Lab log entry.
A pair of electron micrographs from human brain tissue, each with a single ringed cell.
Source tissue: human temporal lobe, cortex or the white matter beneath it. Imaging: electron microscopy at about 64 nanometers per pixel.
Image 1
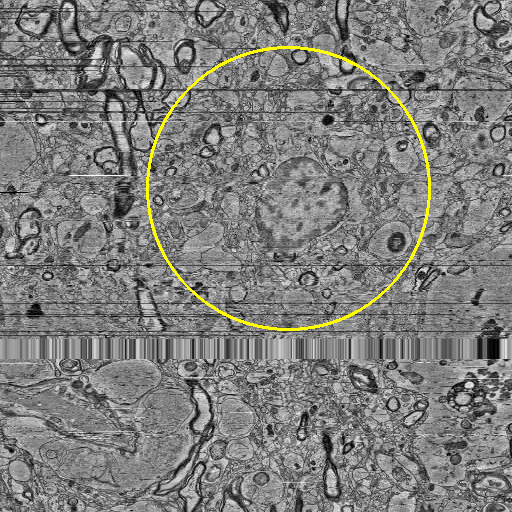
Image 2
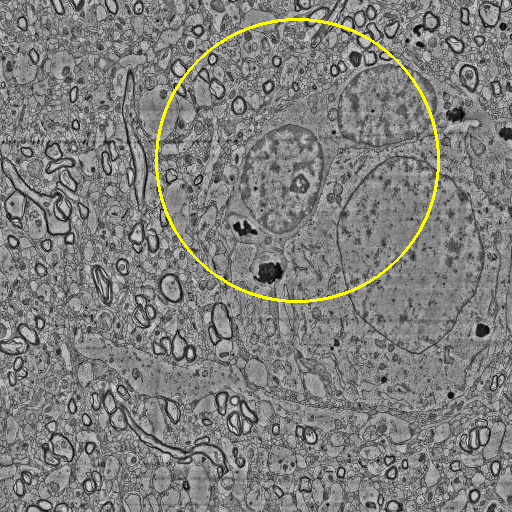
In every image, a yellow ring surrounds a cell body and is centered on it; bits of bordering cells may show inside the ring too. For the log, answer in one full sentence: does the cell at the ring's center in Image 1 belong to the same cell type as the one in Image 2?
No, the cells at the ring centers in Image 1 and Image 2 are of separate types.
